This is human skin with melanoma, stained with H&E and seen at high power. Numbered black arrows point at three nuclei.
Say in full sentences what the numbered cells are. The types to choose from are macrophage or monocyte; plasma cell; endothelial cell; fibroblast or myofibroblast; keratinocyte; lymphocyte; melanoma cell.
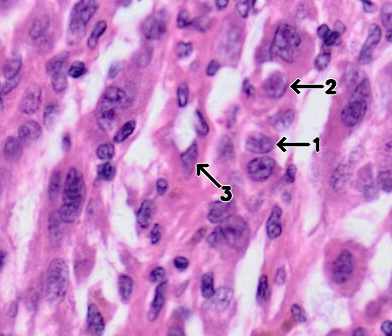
Cell 1 is a melanoma cell, cell 2 is a melanoma cell and cell 3 is an endothelial cell.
